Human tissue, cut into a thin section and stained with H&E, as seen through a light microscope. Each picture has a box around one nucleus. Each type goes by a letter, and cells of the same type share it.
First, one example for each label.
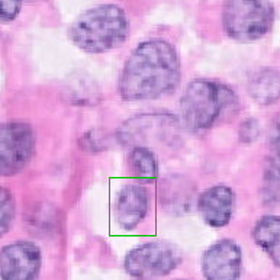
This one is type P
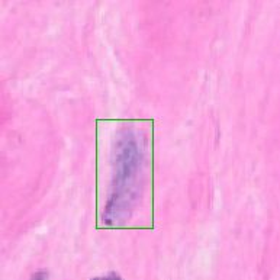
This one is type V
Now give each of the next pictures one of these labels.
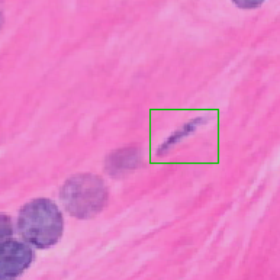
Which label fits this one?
type V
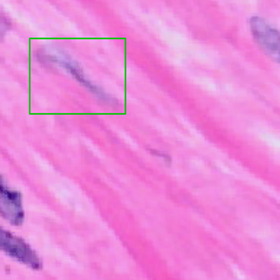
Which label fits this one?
type V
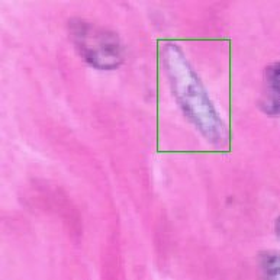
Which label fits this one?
type V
